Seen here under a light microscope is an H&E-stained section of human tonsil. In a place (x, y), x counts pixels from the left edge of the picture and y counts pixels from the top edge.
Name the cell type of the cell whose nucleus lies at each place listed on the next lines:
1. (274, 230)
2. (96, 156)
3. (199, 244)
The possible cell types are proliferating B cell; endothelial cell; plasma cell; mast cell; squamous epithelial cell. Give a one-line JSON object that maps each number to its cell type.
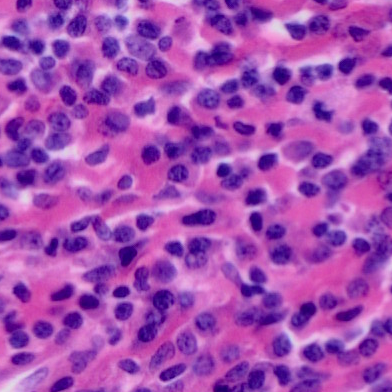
{"1": "plasma cell", "2": "mast cell", "3": "plasma cell"}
